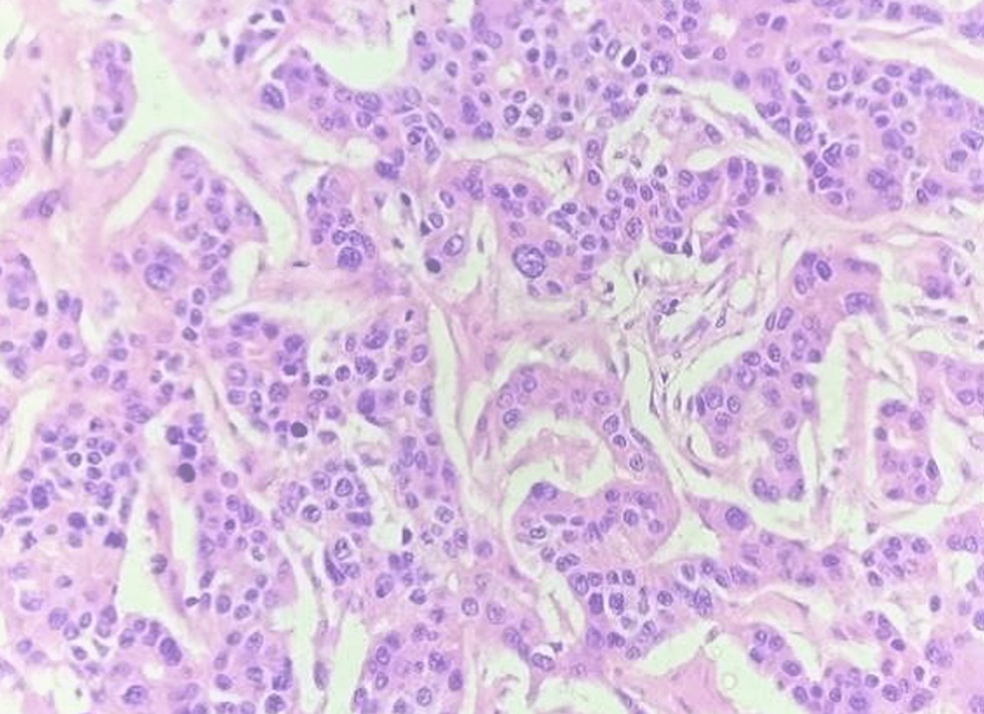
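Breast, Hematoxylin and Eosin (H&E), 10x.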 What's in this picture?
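Crowded epithelial cells with moderate pink cytoplasm and enlarged, round to oval purple nuclei, many with small nucleoli and some dark and hyperchromatic, are arranged in branching bands a few cells thick. Between the bands run only thin strands of pale pink fibrous tissue, often with clear clefts beside them. This is a carcinoma growing in cords and trabeculae of tumor cells with scant intervening stroma.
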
